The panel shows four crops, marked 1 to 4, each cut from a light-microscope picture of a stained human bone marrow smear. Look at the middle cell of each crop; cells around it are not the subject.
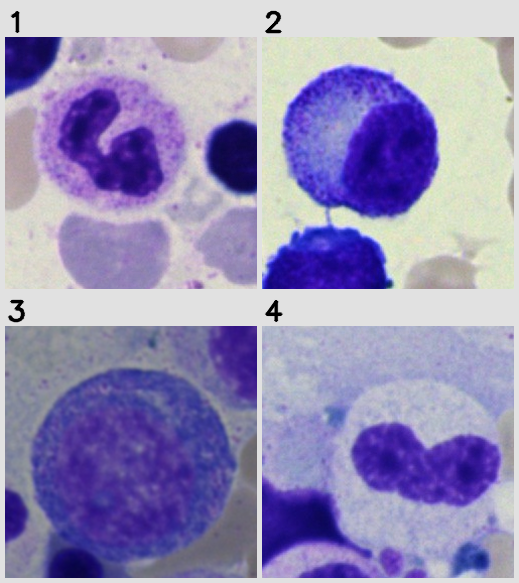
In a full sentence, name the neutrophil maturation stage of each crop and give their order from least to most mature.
The maturity ranking, beginning with the least mature, is crop 3 (a promyelocyte), crop 2 (a myelocyte), crop 4 (a band neutrophil) and crop 1 (a segmented neutrophil).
